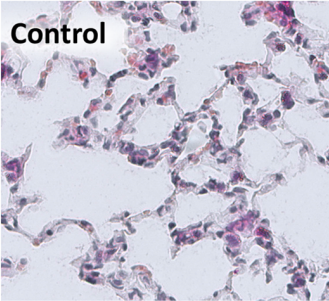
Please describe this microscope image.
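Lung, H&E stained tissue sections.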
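Thin, delicate alveolar septa separate the air spaces and form a lace-like network. The septa carry small, dark purple-blue nuclei of the cells lining and lying within the walls. A few pink-red cells sit within the septa, and the air spaces are largely clear.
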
